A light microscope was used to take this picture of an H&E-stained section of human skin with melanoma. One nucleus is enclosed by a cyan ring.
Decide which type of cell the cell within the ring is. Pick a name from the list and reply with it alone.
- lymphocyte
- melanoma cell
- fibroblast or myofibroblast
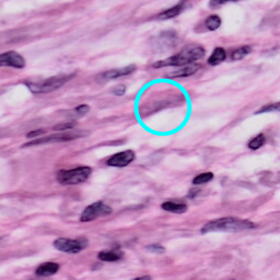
fibroblast or myofibroblast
